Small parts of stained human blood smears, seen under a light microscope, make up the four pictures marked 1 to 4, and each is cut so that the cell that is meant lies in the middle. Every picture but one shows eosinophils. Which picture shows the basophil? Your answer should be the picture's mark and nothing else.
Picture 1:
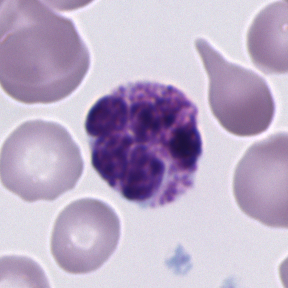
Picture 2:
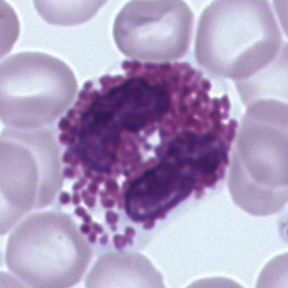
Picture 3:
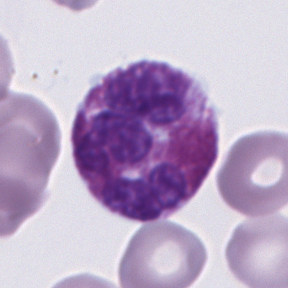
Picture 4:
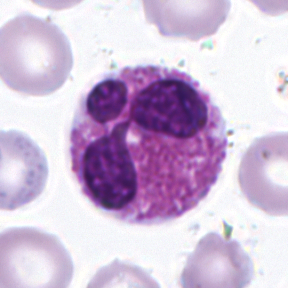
1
